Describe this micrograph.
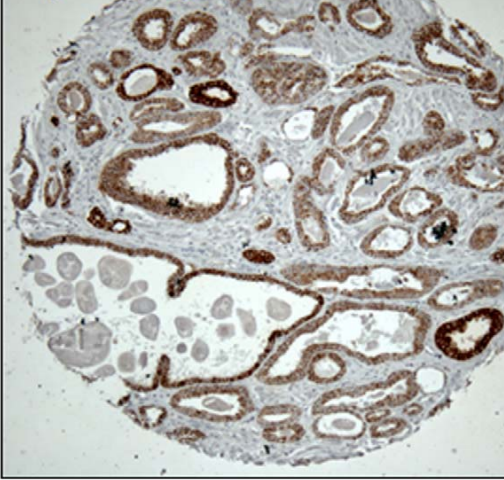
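This round tissue core shows prostatic tissue with many glands of varying size, some small and round, others large with infolded linings. The glands are lined by epithelial cells that take up a brown stain, which forms a dark rim around each lumen. The pale blue-grey stroma between the glands is left without brown stain. In the lower left, a large lumen holds several round, pale bodies.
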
